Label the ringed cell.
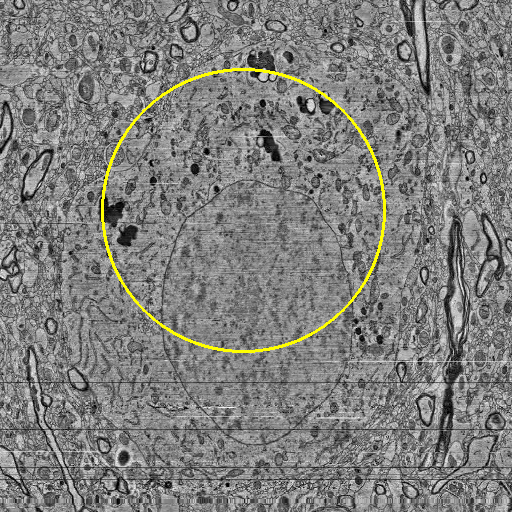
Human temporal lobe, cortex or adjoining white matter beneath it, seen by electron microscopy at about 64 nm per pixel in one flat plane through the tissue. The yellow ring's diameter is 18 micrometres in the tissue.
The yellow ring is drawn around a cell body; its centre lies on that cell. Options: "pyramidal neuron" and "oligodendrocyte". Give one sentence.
The ringed cell is a pyramidal neuron.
